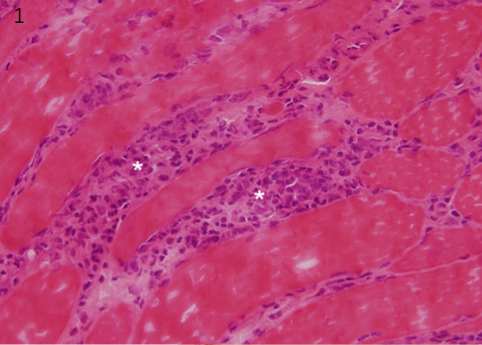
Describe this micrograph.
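This is skeletal muscle in longitudinal to oblique section, with endomysial inflammatory infiltrates between the fibers. The muscle fibers are broad, elongated and stained bright pink. Between neighbouring fibers lie dense bands of small cells with dark blue nuclei, filling and widening the endomysial spaces. The infiltrates follow the long axis of the fibers and separate them from one another.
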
